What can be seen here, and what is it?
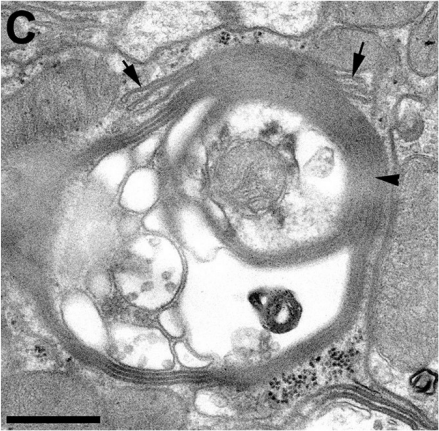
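A thick band of many tightly stacked, parallel dark membranes curves around a large pale region that holds numerous clear vacuoles of various sizes, some with flocculent content and a small dense whorled body. At the upper edge, thin paired membranes join the stacked band. Neighbouring neural profiles with mitochondria and scattered dark granules surround the structure.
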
